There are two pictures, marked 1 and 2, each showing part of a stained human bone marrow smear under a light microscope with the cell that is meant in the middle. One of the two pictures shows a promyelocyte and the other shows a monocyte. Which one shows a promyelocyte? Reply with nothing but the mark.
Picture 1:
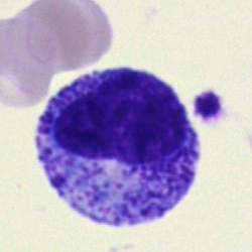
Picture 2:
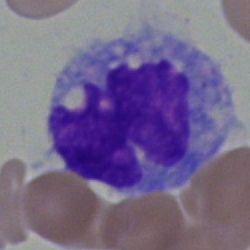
1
